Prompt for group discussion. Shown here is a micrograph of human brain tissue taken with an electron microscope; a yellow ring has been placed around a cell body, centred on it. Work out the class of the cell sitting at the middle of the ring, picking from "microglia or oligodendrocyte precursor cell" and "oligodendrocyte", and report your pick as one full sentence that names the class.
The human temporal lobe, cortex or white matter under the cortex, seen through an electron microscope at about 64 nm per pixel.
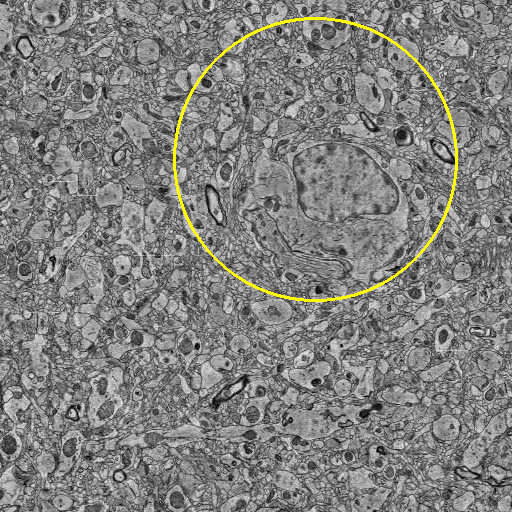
The cell sitting at the middle of the yellow ring is a microglial cell or oligodendrocyte precursor cell.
